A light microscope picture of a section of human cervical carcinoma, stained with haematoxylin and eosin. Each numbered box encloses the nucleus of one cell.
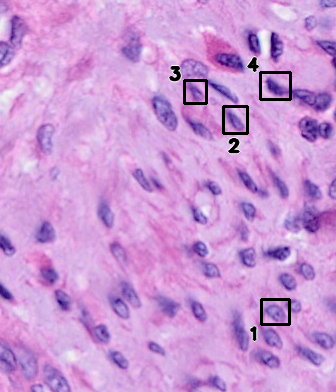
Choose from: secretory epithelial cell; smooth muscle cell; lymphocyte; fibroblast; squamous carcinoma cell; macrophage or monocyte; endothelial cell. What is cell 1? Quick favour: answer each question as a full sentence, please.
Cell 1 in the field of view is a smooth muscle cell.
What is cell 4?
The cell that goes by number 4 is a lymphocyte.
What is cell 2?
The one labeled 2 is a smooth muscle cell, to put it simply.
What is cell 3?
In this section, the cell tagged 3 is a smooth muscle cell.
